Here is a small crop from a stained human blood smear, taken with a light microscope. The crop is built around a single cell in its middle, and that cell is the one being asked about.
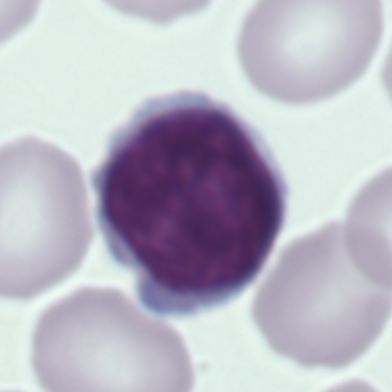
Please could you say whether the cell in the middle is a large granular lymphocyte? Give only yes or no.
no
